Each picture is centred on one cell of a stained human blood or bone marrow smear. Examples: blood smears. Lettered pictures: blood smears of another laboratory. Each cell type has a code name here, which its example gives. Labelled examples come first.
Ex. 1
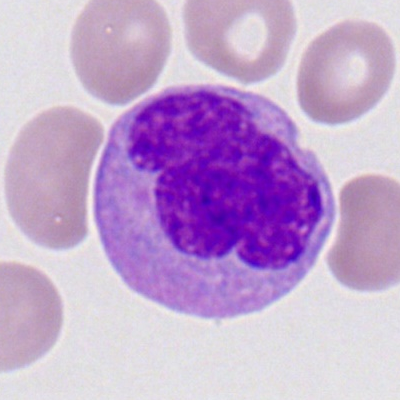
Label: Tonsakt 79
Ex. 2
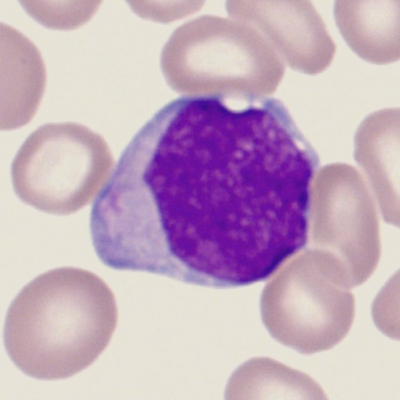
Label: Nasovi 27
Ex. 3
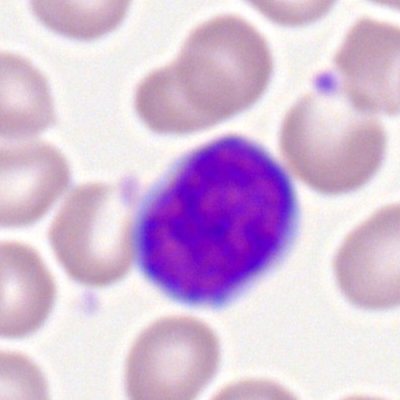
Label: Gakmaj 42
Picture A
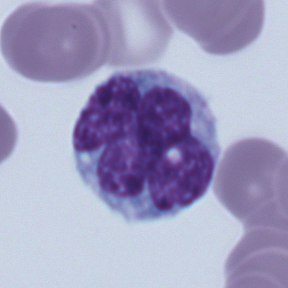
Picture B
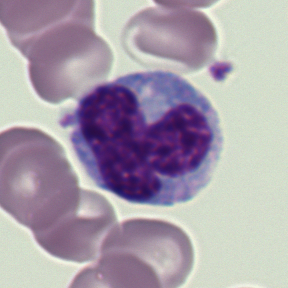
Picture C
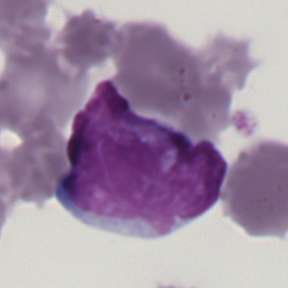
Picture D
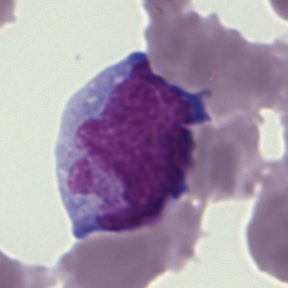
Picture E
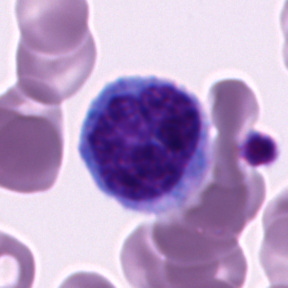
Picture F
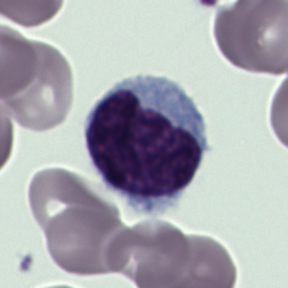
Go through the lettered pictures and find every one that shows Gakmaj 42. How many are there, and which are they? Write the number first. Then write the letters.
0, none of them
